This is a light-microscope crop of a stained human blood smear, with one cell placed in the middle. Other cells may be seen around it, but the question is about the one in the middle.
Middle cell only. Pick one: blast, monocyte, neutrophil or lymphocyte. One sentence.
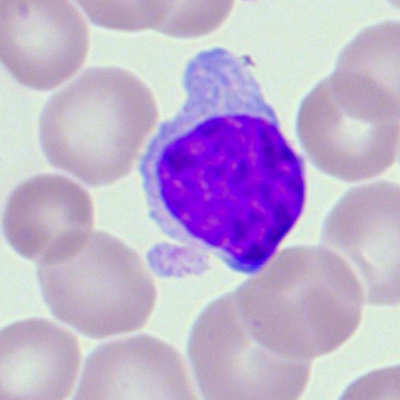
In the central position of this crop, the cell is a lymphocyte.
